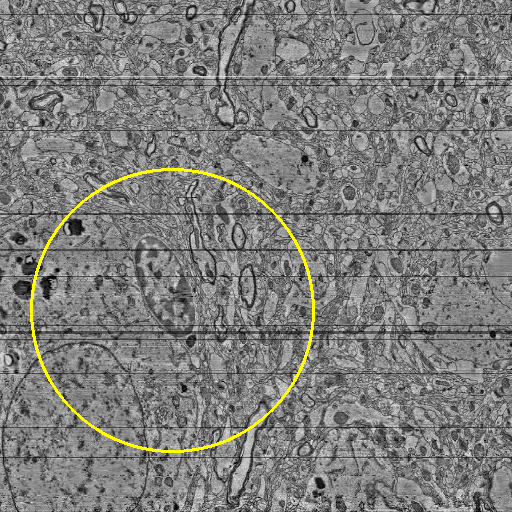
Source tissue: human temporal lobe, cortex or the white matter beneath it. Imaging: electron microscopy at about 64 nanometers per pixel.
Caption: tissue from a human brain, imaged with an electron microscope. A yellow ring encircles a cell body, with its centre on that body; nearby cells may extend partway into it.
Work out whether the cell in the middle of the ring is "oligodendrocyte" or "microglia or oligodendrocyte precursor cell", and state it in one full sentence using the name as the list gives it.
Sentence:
In the picture, the cell that the yellow ring surrounds at its centre is a microglial cell or oligodendrocyte precursor cell.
